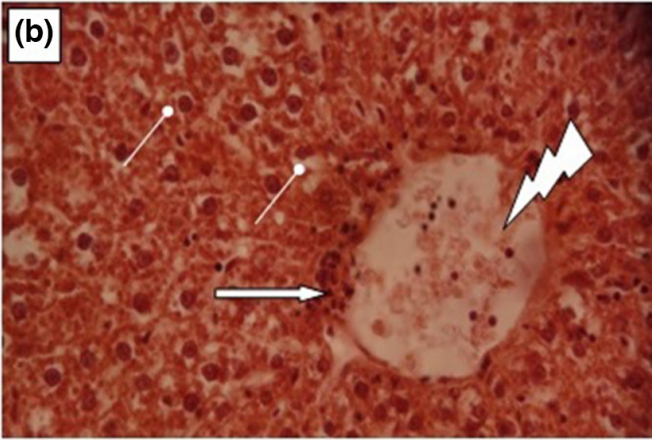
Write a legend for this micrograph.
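This is liver tissue around a central vein, with hepatocytes and inflammatory leukocytes. The vein is greatly widened and its lumen holds scattered blood cells and pale material, a congested vein. At its wall lies a tight cluster of small, darkly stained nuclei, the inflammatory cells. The surrounding hepatocytes stain a deeper red, their cytoplasm granular with small clear spaces, and the regular radiating cords and open sinusoids seen in healthy liver are largely lost, so the tissue looks crowded and disordered.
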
